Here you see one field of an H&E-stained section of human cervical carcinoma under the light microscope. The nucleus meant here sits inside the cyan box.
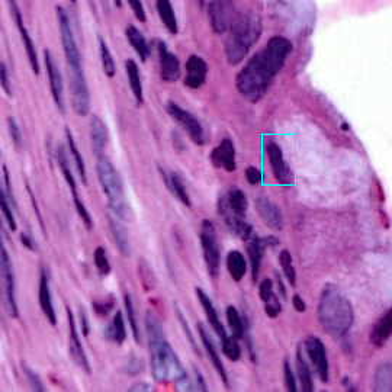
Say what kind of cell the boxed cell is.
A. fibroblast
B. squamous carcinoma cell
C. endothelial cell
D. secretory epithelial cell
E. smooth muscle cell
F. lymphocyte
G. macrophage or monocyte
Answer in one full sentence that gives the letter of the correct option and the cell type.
Option D matches the boxed cell, which is a secretory epithelial cell.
